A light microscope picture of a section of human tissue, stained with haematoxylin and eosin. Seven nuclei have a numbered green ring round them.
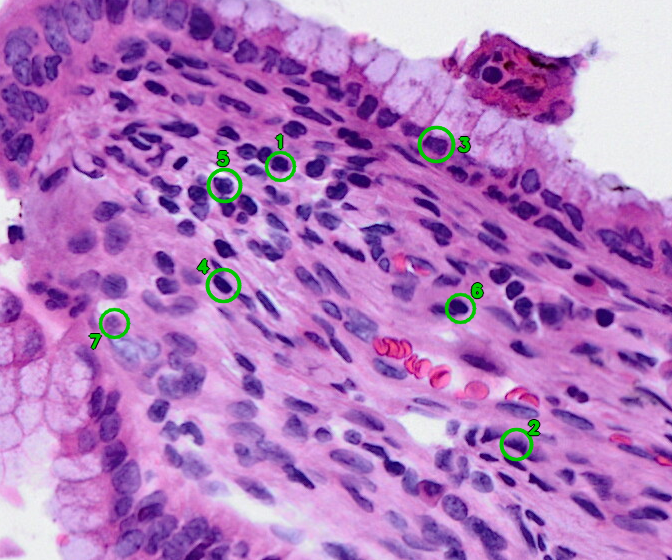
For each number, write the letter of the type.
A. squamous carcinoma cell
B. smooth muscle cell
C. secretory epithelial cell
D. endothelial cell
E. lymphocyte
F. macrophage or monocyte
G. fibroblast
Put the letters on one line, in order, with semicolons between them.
E; G; C; E; E; E; D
